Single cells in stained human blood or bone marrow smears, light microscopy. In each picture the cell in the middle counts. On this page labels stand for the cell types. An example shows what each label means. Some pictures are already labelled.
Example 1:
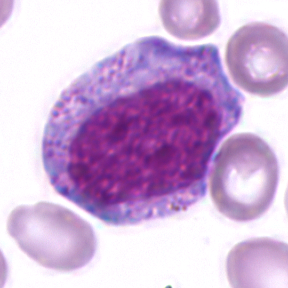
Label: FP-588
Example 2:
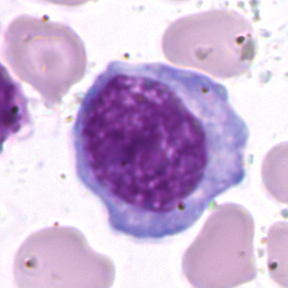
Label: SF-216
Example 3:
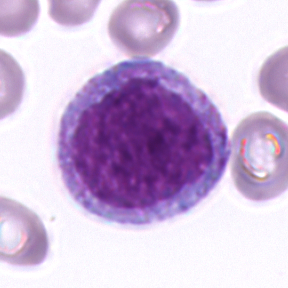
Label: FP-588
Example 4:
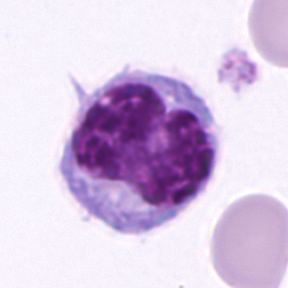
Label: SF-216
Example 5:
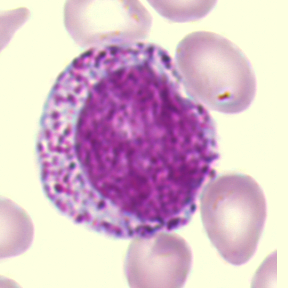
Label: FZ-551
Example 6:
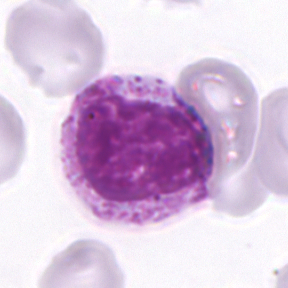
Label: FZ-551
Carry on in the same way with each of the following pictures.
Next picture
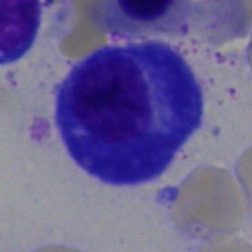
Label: SF-216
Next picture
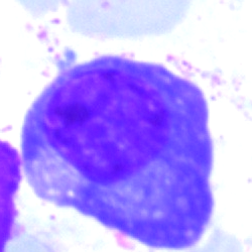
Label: SF-216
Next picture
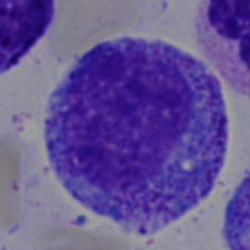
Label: FP-588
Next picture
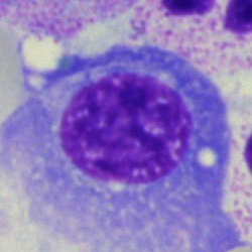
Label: SF-216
